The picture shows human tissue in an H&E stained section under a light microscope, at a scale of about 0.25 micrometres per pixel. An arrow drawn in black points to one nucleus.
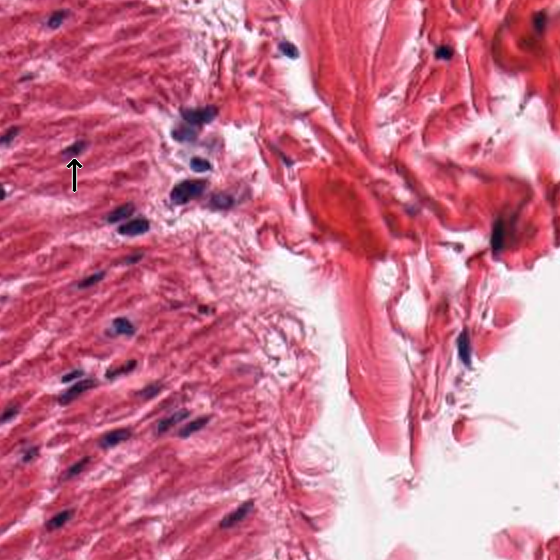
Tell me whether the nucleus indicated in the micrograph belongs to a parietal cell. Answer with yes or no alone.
no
